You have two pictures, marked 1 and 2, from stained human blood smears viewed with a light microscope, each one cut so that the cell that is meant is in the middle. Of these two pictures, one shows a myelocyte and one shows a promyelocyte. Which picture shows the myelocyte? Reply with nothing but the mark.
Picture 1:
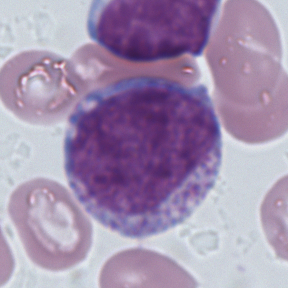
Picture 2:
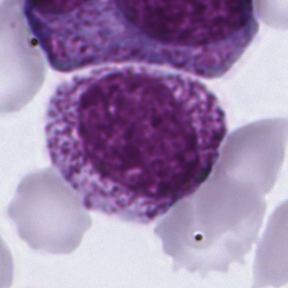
2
